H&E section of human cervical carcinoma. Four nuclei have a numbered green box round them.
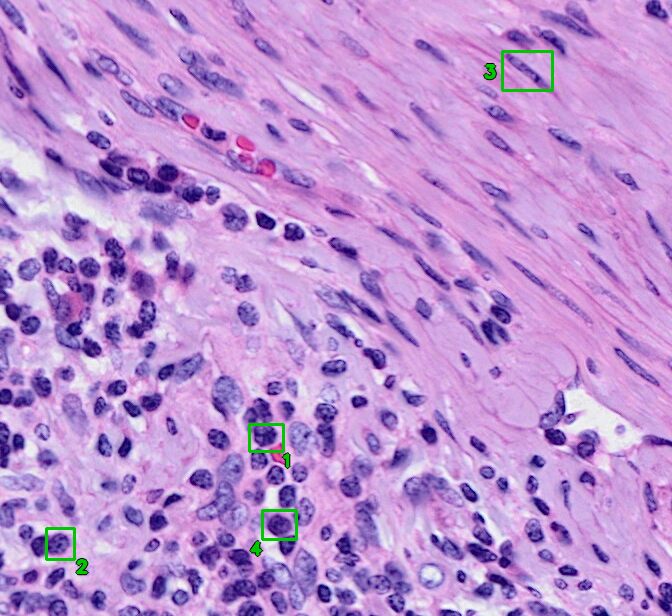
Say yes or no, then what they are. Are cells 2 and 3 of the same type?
No, cell 2 here is a lymphocyte, and cell 3 here is a smooth muscle cell.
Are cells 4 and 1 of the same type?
Yes, cells 4 and 1 are of one type, both being lymphocytes.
